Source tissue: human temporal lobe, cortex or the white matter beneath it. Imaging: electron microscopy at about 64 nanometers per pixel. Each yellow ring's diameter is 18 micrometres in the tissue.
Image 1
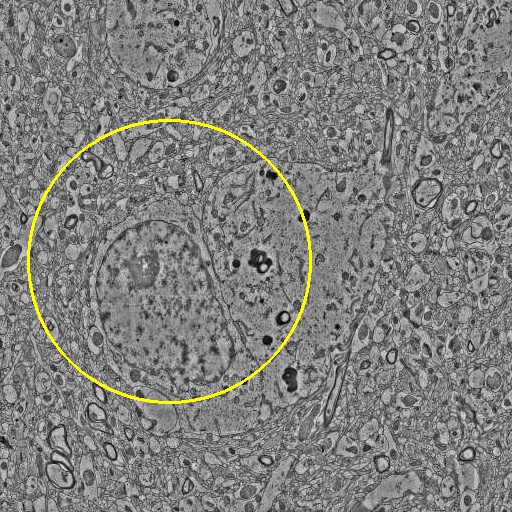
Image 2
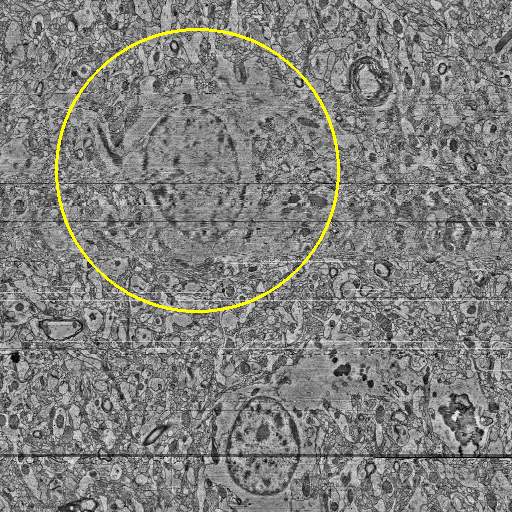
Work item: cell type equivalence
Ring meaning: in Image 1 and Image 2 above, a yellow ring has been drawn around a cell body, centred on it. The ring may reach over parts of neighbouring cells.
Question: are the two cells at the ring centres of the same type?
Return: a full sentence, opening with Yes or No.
No, the two centred cells are of two types.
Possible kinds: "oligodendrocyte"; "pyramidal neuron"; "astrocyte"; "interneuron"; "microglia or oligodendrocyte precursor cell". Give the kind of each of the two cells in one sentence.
The cell in the second picture is an astrocyte, and that in the first is an interneuron.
